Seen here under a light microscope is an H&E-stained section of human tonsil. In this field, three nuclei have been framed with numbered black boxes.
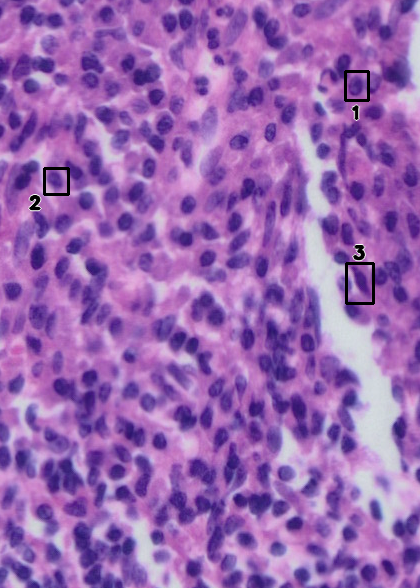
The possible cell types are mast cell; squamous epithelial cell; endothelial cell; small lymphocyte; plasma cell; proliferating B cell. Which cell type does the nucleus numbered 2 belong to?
plasma cell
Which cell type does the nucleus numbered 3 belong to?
squamous epithelial cell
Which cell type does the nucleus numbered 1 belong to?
plasma cell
